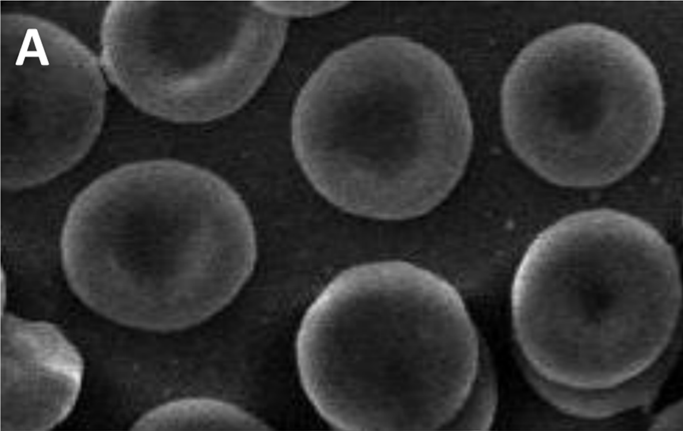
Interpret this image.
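The cells are round to slightly oval discs of fairly uniform size with smooth surfaces. Each has a raised, brighter rim surrounding a central depression, giving the classic biconcave disc outline. No nuclei, surface spikes or processes are visible.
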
